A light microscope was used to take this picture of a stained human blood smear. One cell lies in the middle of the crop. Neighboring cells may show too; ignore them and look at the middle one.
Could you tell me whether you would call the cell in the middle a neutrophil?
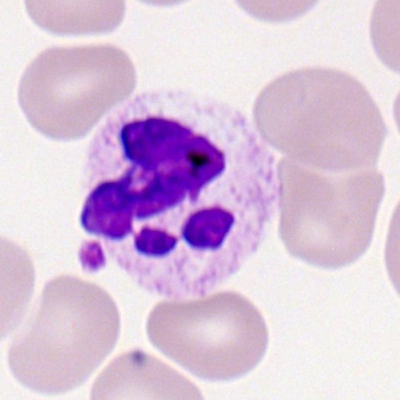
yes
